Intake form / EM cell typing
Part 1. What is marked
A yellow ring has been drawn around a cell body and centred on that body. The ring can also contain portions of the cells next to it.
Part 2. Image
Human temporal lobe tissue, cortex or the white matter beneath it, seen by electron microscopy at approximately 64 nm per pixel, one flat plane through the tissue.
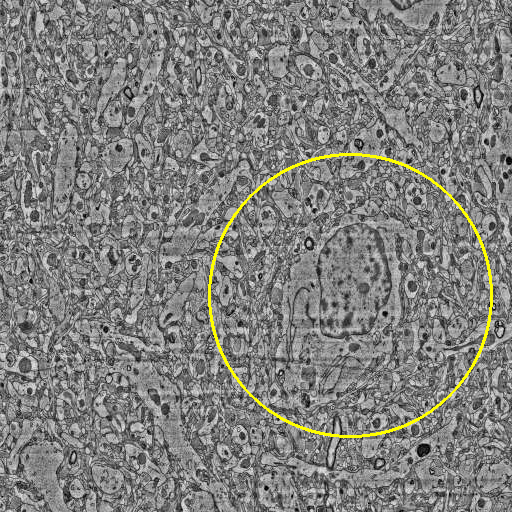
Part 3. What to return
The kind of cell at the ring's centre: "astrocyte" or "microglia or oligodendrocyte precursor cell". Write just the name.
astrocyte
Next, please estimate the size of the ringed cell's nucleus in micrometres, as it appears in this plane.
In this plane the nucleus measures roughly 7 by 5 micrometers.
